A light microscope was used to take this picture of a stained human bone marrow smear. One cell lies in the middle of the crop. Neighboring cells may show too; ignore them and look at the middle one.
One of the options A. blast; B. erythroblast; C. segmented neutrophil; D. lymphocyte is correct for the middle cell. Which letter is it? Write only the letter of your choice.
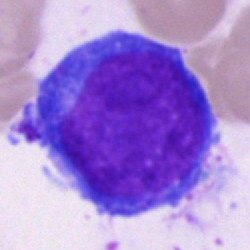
A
